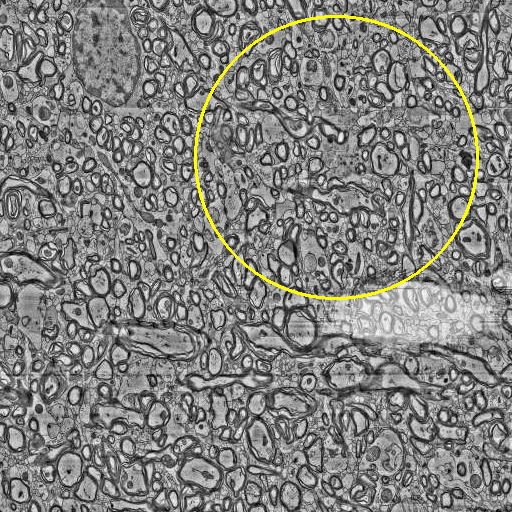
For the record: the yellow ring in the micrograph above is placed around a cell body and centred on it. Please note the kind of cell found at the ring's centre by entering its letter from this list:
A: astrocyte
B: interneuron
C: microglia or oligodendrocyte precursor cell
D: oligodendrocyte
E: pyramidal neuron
D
